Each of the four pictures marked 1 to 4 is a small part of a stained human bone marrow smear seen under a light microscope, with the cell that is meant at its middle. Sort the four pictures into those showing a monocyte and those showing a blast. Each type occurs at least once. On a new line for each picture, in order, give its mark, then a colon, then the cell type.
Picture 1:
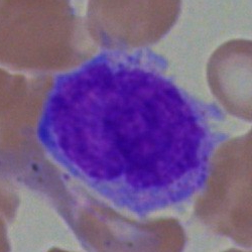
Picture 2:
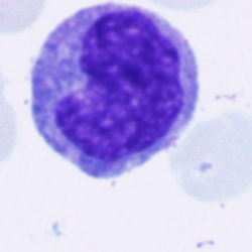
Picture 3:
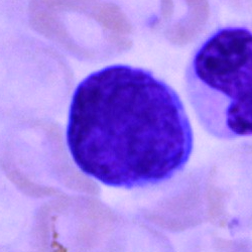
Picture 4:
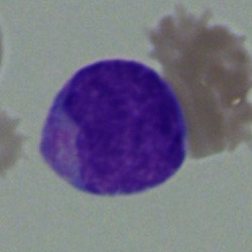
1: monocyte
2: monocyte
3: blast
4: blast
